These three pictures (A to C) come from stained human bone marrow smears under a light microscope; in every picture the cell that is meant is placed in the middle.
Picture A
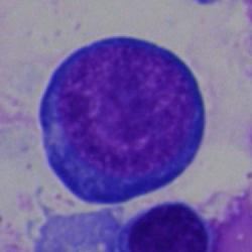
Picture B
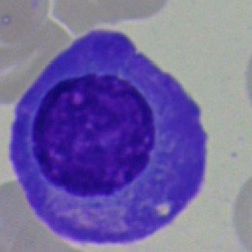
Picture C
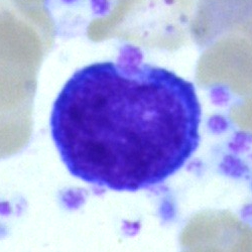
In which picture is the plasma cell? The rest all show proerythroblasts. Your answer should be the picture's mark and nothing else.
B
